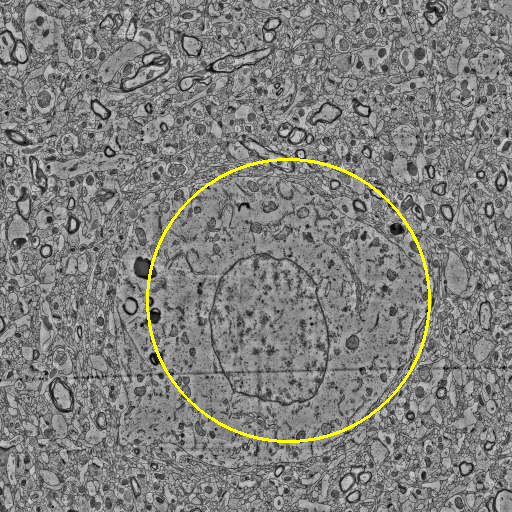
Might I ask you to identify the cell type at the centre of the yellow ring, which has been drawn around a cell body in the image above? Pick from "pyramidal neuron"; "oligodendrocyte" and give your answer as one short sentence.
The centre of the ring falls on a pyramidal neuron.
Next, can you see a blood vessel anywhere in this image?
No, the image shows no blood vessel.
